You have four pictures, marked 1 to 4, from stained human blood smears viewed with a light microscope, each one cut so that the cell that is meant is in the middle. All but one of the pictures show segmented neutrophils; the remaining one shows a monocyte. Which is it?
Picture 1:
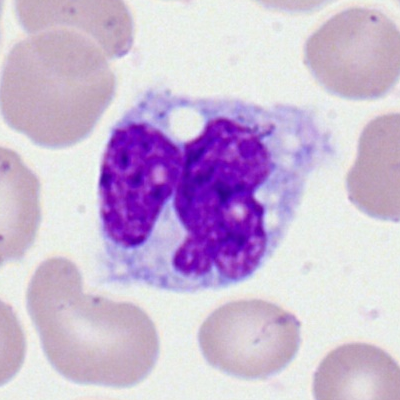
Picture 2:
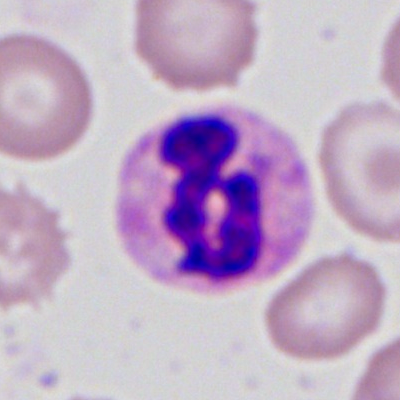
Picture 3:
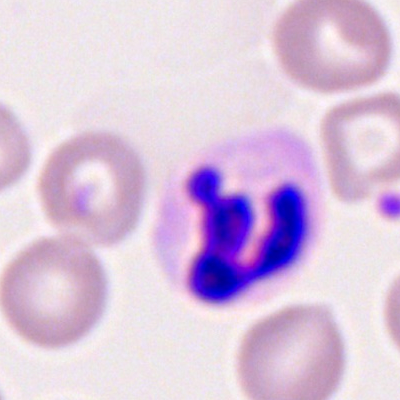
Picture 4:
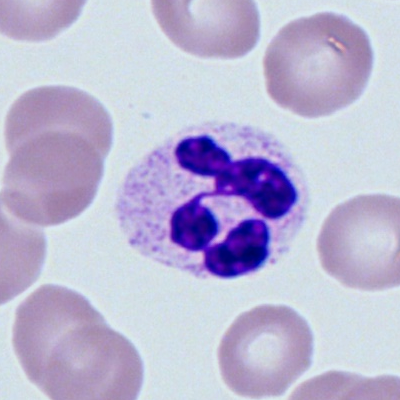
1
